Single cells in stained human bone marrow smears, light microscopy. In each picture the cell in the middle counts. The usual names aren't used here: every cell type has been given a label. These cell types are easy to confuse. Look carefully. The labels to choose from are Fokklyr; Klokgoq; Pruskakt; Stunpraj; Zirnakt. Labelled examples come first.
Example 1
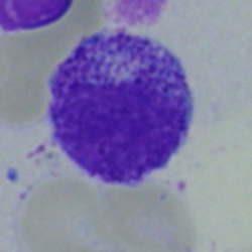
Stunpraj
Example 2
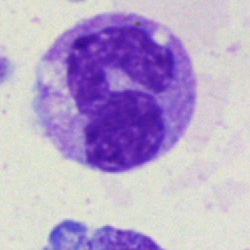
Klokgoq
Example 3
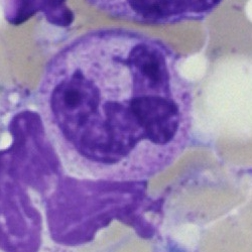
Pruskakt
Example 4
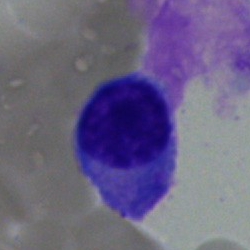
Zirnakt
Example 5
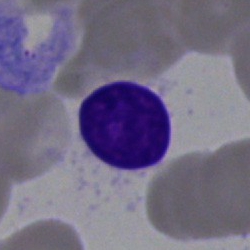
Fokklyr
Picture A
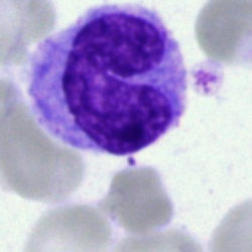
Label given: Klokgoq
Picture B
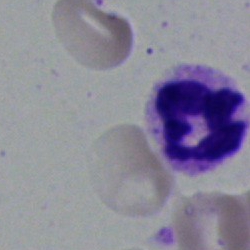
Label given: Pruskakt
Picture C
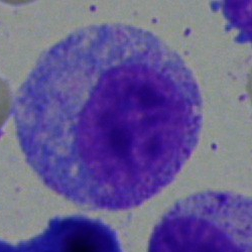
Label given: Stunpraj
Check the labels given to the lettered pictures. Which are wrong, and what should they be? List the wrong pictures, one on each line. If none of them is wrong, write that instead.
All correct.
